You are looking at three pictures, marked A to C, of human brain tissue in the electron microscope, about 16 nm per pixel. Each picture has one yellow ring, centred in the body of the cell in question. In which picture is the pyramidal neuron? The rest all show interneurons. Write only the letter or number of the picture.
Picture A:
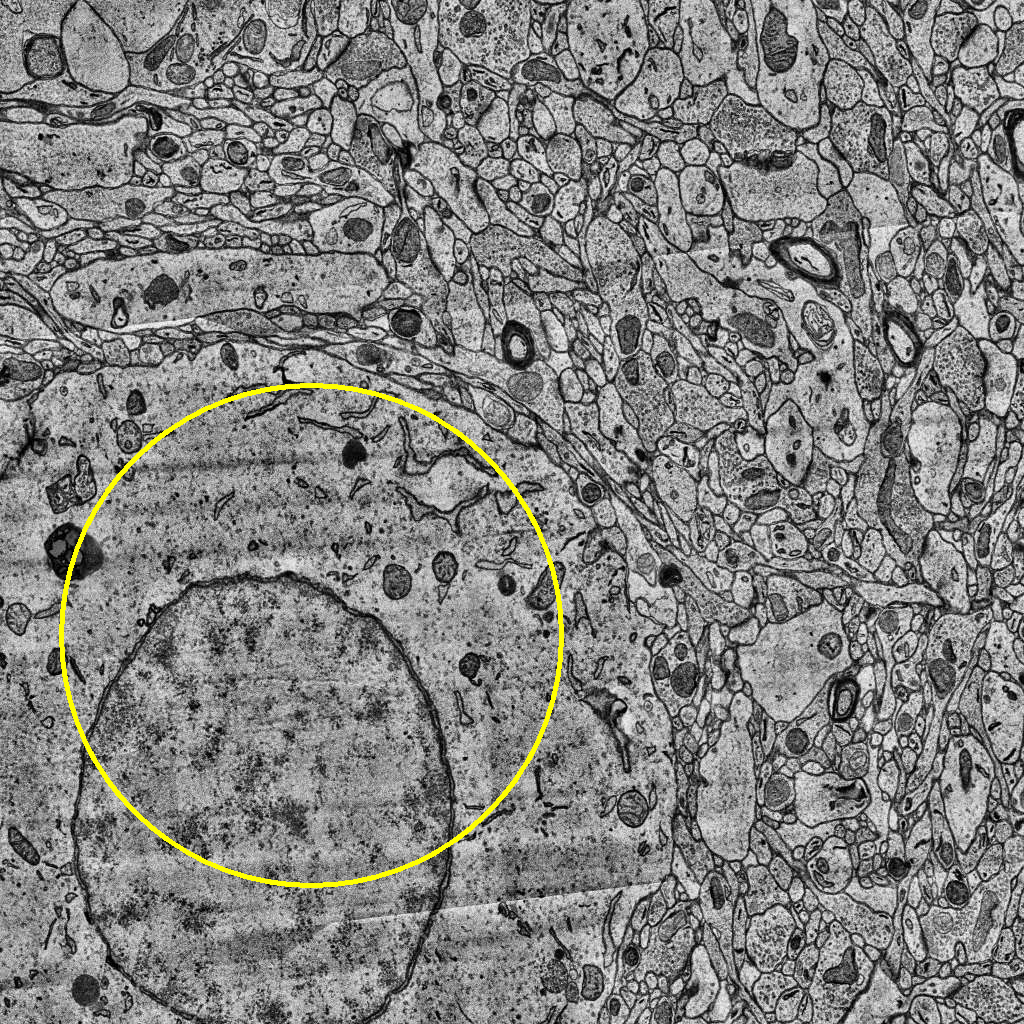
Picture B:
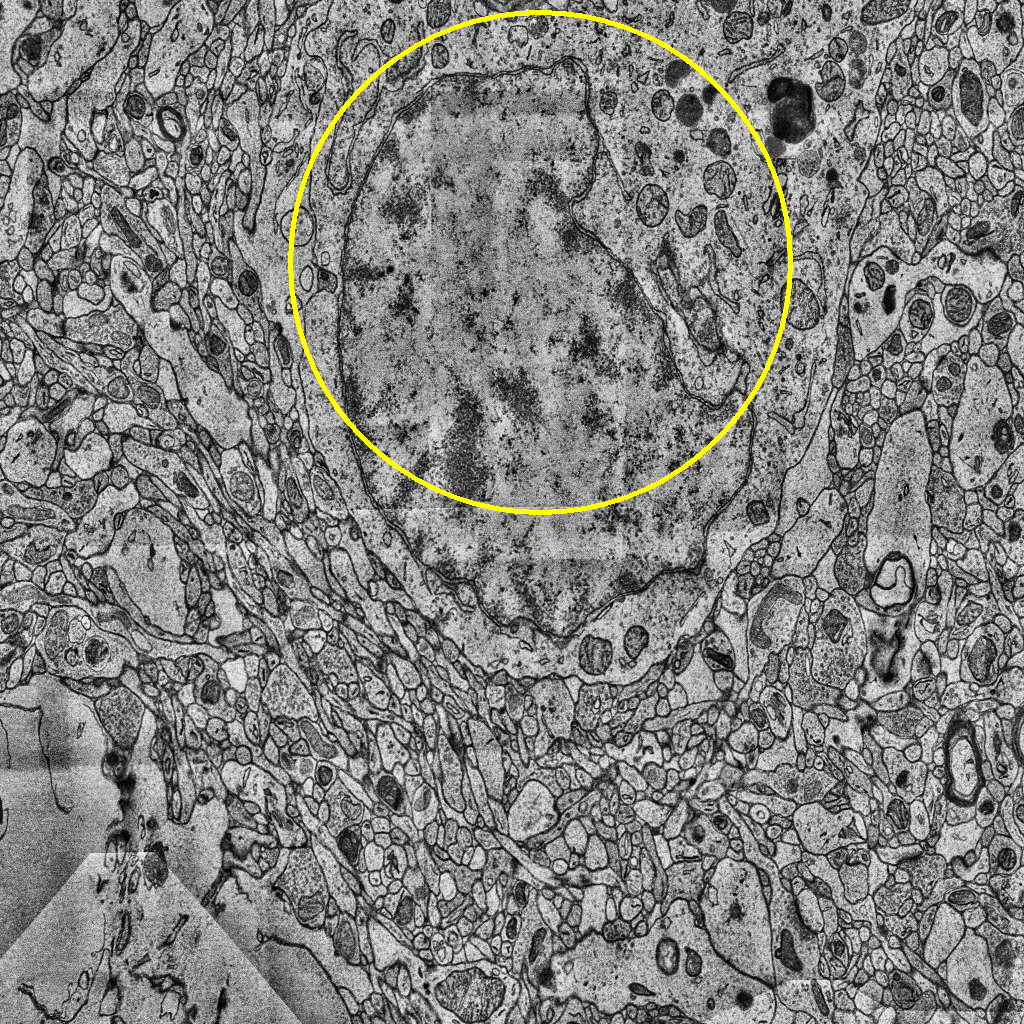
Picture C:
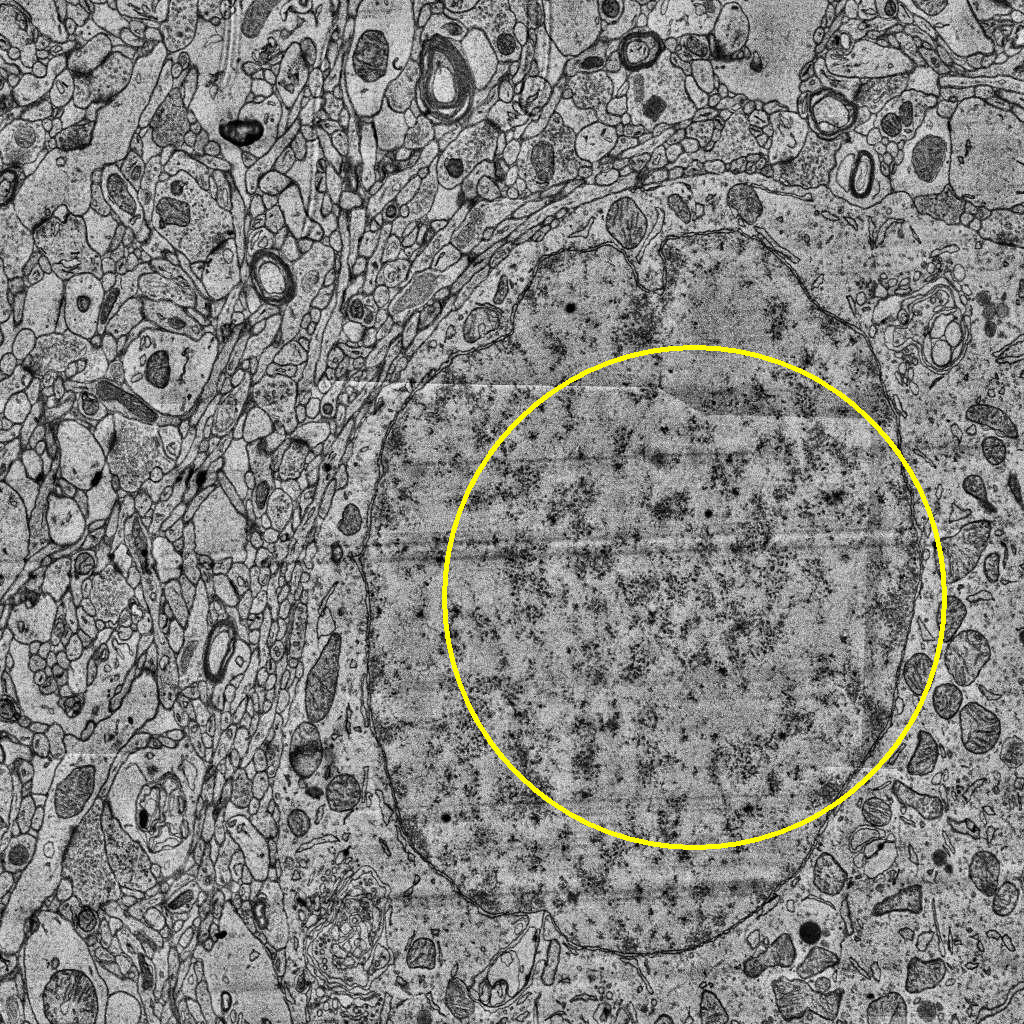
A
